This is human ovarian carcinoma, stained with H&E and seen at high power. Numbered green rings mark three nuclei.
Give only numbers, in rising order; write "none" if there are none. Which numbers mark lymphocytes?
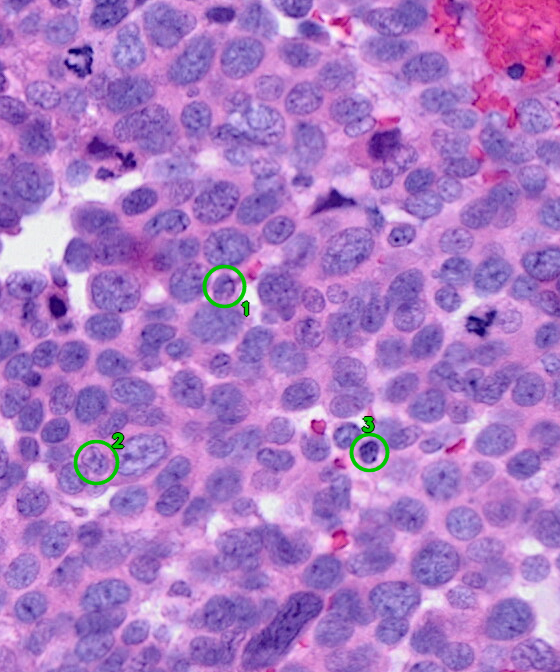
3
